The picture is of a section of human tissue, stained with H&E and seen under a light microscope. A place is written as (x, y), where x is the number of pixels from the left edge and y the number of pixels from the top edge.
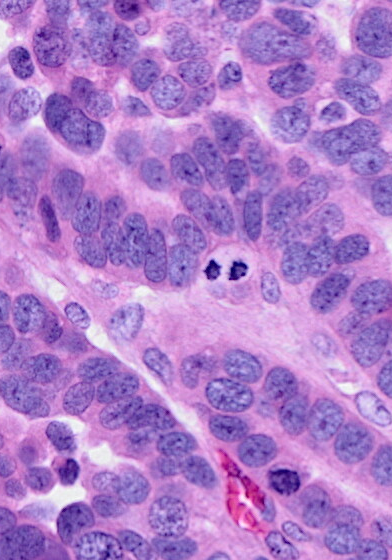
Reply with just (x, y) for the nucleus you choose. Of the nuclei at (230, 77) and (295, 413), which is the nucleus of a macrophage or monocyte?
(230, 77)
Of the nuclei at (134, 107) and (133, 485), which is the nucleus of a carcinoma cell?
(133, 485)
